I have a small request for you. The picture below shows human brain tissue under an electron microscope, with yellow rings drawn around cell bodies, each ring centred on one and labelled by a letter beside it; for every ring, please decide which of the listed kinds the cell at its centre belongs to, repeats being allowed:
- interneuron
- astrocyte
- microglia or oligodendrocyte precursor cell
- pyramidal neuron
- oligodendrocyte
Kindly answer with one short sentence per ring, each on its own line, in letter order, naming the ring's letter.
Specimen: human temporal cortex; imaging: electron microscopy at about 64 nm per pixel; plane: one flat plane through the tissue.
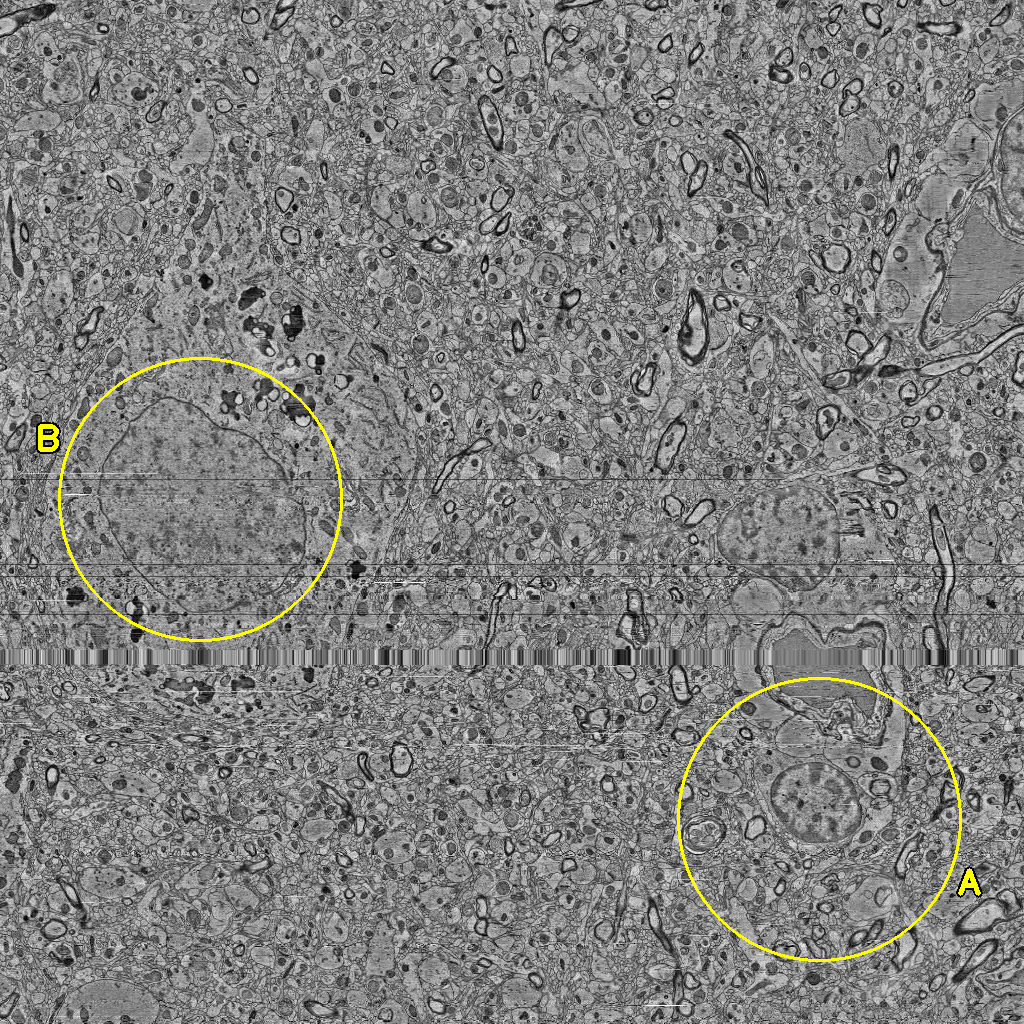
Ring A shows an oligodendrocyte at its centre.
Ring B shows a pyramidal neuron at its centre.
